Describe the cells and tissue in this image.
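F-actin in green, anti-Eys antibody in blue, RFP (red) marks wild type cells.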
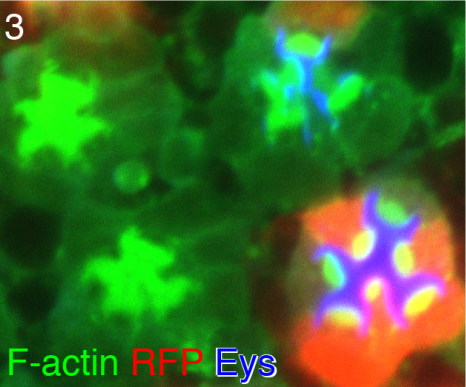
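In other ommatidia without red, the green rhabdomeres are crowded together into one compact star-shaped mass with little or no blue space between them. Faint green outlines mark the borders of the surrounding cells.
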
